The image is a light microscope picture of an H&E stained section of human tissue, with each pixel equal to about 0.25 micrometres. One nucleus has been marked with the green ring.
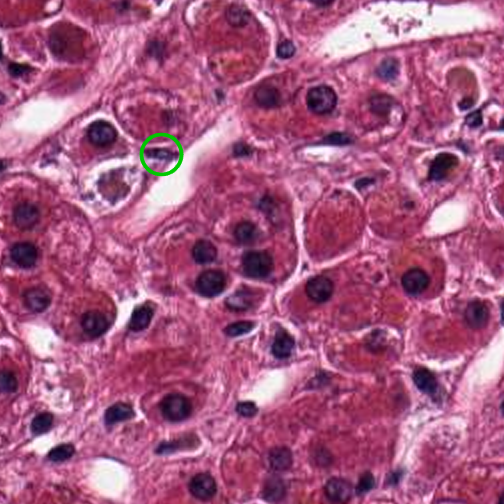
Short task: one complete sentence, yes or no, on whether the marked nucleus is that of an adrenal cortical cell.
No, the marked nucleus does not form part of an adrenal cortical cell, being part of a supporting cell.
